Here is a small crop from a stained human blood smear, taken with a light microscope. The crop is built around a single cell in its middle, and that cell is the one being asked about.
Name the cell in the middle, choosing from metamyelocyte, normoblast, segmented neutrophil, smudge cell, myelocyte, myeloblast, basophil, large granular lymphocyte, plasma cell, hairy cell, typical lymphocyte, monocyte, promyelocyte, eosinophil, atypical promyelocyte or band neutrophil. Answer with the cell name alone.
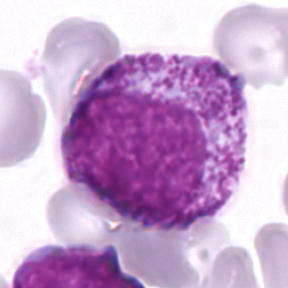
myelocyte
